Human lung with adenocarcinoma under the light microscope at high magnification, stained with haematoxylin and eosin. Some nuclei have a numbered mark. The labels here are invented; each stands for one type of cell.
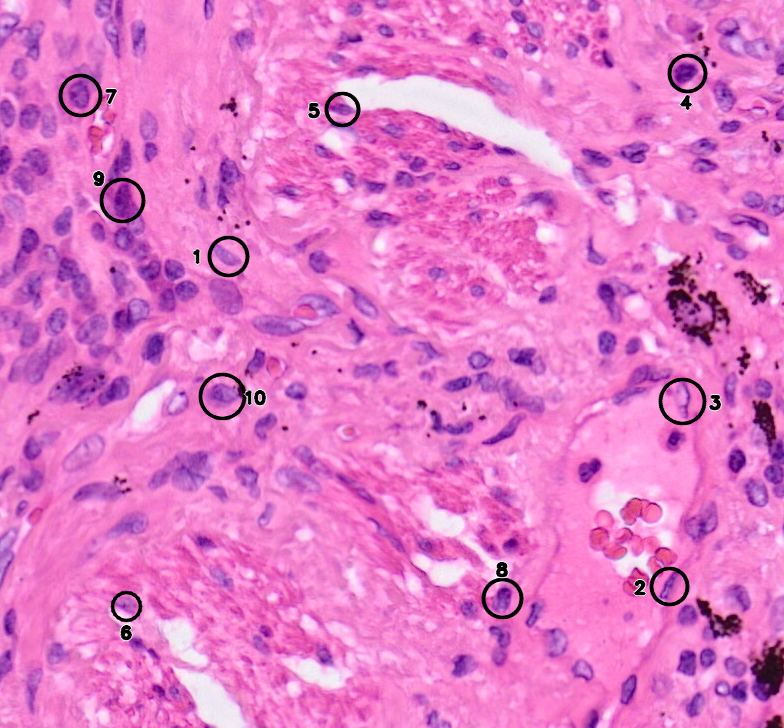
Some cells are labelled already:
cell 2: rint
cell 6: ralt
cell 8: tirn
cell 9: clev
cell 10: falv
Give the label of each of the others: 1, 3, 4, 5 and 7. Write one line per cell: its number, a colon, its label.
1: falv
3: rint
4: clev
5: ralt
7: clev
